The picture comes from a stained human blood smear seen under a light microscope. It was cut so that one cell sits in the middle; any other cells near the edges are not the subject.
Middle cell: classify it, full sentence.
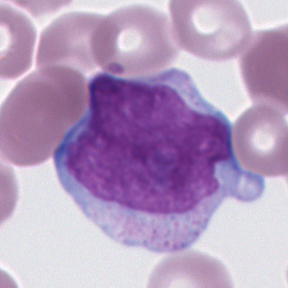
The crop's centre is taken up by an atypical promyelocyte.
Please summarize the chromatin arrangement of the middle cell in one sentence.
Coarse clumps are absent, and the chromatin is fine throughout.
